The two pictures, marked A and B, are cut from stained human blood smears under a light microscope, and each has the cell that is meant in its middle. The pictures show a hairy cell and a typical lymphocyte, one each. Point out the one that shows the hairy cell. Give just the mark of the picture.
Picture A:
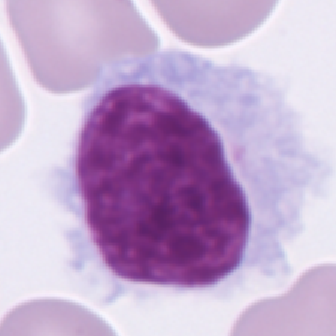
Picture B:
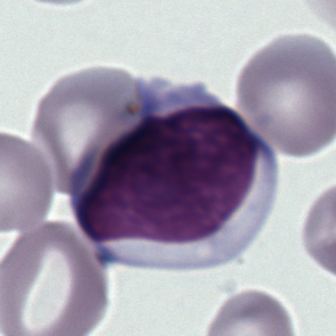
A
